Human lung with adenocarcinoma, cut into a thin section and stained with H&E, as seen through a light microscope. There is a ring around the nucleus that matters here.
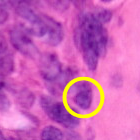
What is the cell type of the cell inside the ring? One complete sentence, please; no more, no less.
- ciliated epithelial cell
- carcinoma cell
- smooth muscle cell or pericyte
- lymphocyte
In this preparation, the cell inside the ring is a ciliated epithelial cell.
